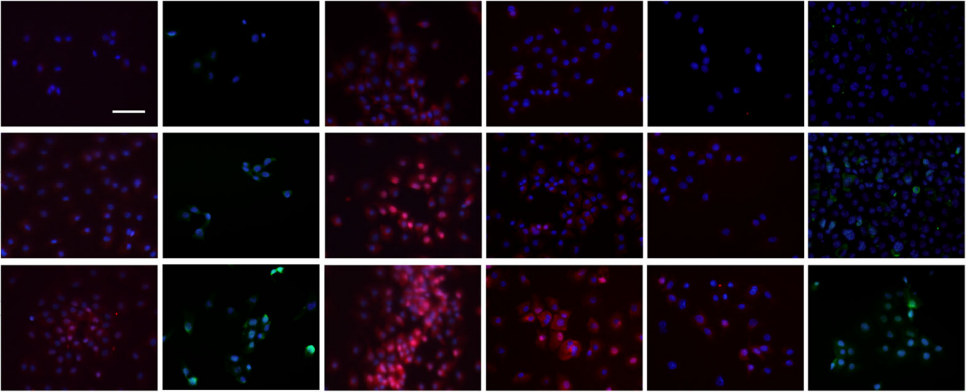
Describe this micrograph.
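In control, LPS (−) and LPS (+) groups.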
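Around and over the nuclei lies red or green fluorescence, depending on the column. The intensity of this colour differs between the rows. In some views the colour is faint and diffuse. In others it is bright, sits over the nuclei, or fills the cytoplasm of individual cells in clusters. The nuclei look fairly uniform in size.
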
